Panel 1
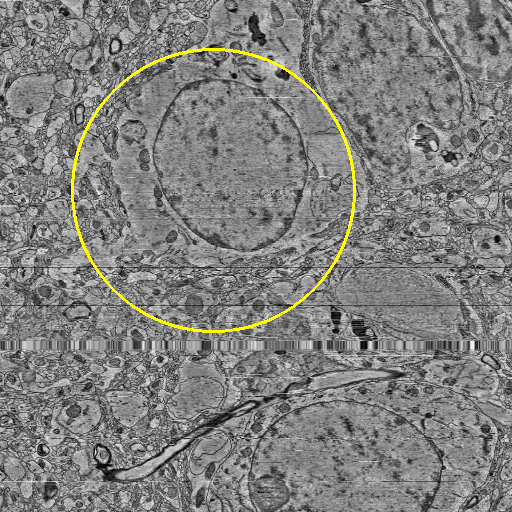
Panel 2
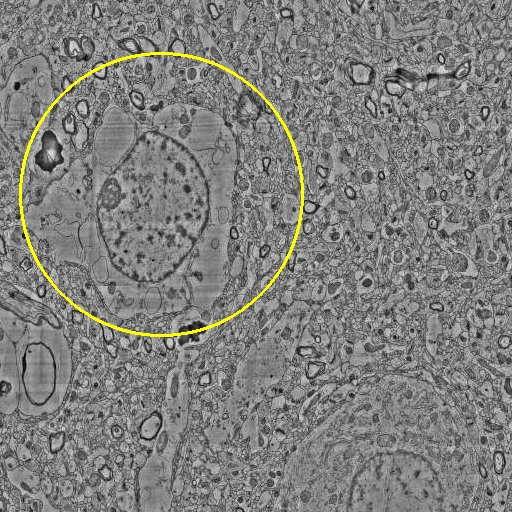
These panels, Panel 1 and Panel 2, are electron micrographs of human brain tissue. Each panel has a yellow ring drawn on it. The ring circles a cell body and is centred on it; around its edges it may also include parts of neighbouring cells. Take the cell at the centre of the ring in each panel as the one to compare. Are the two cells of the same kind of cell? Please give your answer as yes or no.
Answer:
yes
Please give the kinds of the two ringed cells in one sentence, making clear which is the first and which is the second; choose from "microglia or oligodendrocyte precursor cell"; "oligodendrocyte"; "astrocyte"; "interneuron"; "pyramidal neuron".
The second cell is an astrocyte, just as the first is.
